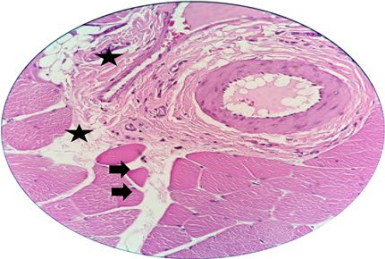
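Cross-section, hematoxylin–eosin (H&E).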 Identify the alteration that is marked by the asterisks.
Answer: collagen hyperplasia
